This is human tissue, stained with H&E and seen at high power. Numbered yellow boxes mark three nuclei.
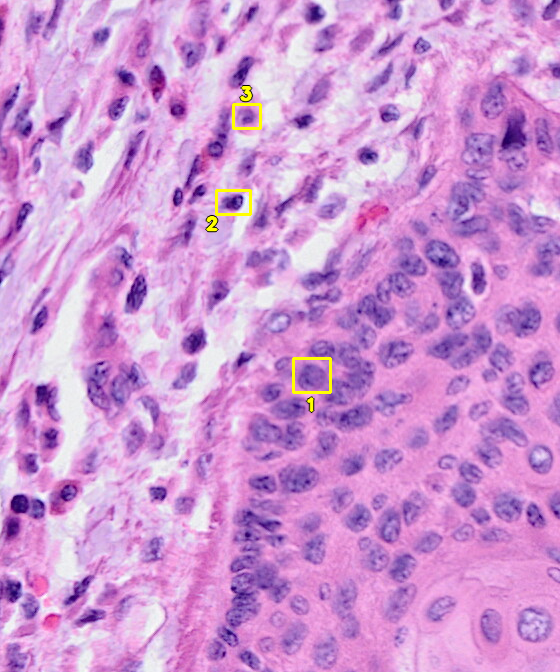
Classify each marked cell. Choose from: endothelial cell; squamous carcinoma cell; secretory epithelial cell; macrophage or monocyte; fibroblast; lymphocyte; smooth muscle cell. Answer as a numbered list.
1. squamous carcinoma cell
2. lymphocyte
3. macrophage or monocyte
